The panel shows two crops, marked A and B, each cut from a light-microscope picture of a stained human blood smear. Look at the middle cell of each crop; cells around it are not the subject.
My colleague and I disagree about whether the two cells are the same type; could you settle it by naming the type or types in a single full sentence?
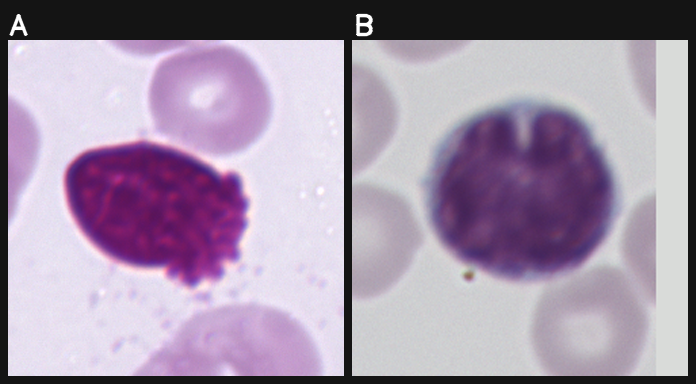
No, the central cell of crop A is a smudge cell; that of crop B is a typical lymphocyte.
